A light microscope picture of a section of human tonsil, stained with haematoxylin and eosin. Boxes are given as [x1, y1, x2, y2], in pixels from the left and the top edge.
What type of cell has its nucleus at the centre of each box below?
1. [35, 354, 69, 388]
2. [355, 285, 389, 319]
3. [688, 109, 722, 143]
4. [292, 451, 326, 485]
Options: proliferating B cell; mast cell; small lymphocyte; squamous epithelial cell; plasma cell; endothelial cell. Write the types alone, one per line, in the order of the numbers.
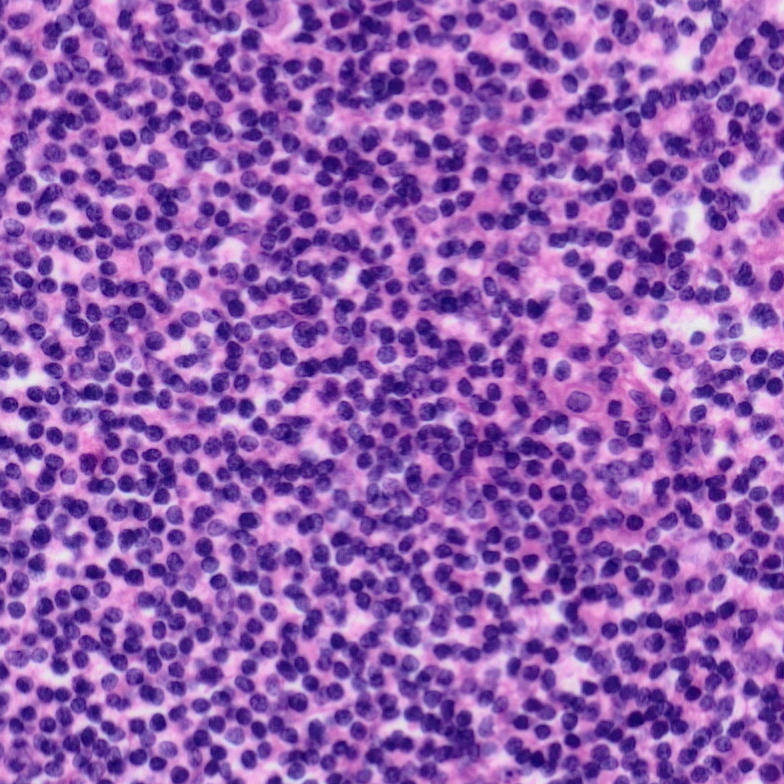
small lymphocyte
small lymphocyte
proliferating B cell
small lymphocyte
